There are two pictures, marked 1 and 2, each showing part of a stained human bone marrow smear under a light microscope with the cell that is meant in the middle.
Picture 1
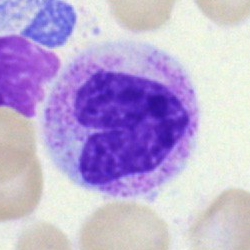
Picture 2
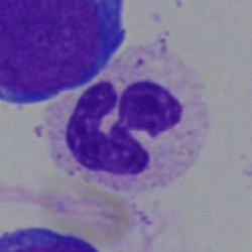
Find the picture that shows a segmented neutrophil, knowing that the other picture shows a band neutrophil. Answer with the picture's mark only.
2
